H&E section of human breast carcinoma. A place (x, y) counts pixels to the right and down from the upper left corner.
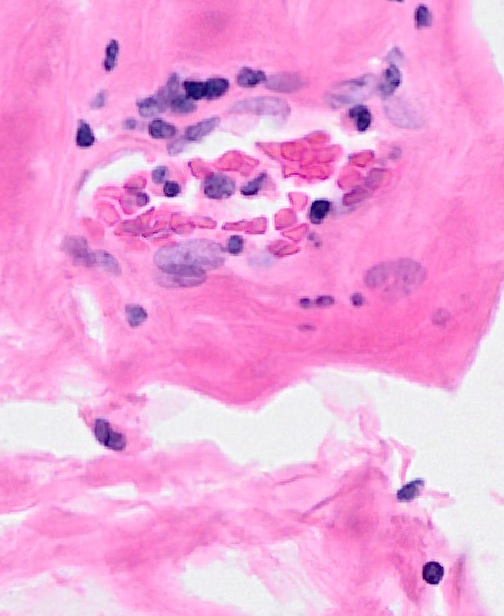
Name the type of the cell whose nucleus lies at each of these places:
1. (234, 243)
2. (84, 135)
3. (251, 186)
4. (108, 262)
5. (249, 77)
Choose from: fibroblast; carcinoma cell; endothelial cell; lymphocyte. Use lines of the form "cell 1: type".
cell 1: endothelial cell
cell 2: lymphocyte
cell 3: endothelial cell
cell 4: endothelial cell
cell 5: lymphocyte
